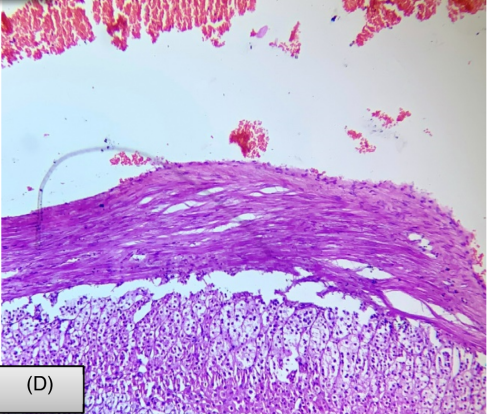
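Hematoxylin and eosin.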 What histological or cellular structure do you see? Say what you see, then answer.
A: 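A band of wavy pink fibres runs across the middle of the panel. The band has few, sparse elongated nuclei. So: fibrocollagenous wall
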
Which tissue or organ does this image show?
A: Adrenal tissue.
